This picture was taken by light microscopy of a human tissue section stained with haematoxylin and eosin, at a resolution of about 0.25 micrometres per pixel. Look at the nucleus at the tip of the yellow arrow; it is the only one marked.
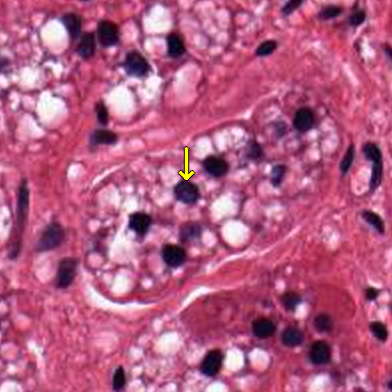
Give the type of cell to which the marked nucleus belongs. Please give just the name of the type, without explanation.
adrenal cortical cell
